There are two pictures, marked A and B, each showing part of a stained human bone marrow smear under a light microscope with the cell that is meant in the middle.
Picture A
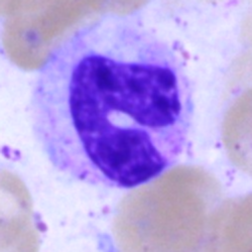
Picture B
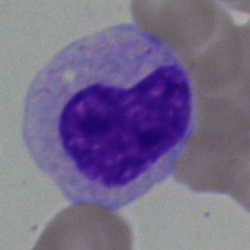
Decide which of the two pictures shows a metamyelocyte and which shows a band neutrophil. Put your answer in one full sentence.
Picture B shows a metamyelocyte, while picture A shows a band neutrophil.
